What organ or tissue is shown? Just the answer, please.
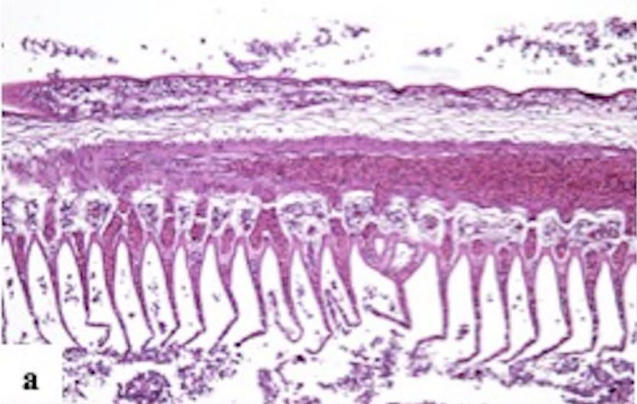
Gills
